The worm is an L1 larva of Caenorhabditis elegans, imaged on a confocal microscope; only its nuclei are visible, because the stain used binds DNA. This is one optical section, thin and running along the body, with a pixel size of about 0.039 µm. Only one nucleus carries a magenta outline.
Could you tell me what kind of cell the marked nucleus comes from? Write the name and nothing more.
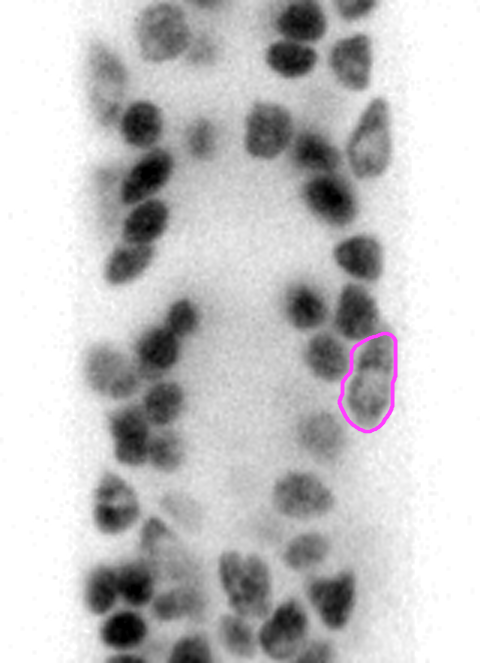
hypodermal cell (hyp)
